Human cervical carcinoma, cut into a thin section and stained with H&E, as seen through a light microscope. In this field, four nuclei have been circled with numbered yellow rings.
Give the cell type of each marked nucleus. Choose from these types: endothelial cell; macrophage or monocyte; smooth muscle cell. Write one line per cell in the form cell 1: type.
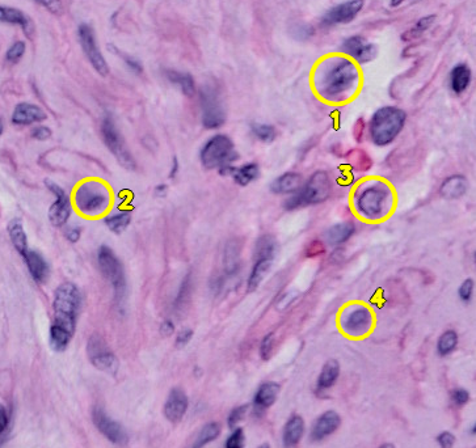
cell 1: endothelial cell
cell 2: smooth muscle cell
cell 3: endothelial cell
cell 4: smooth muscle cell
